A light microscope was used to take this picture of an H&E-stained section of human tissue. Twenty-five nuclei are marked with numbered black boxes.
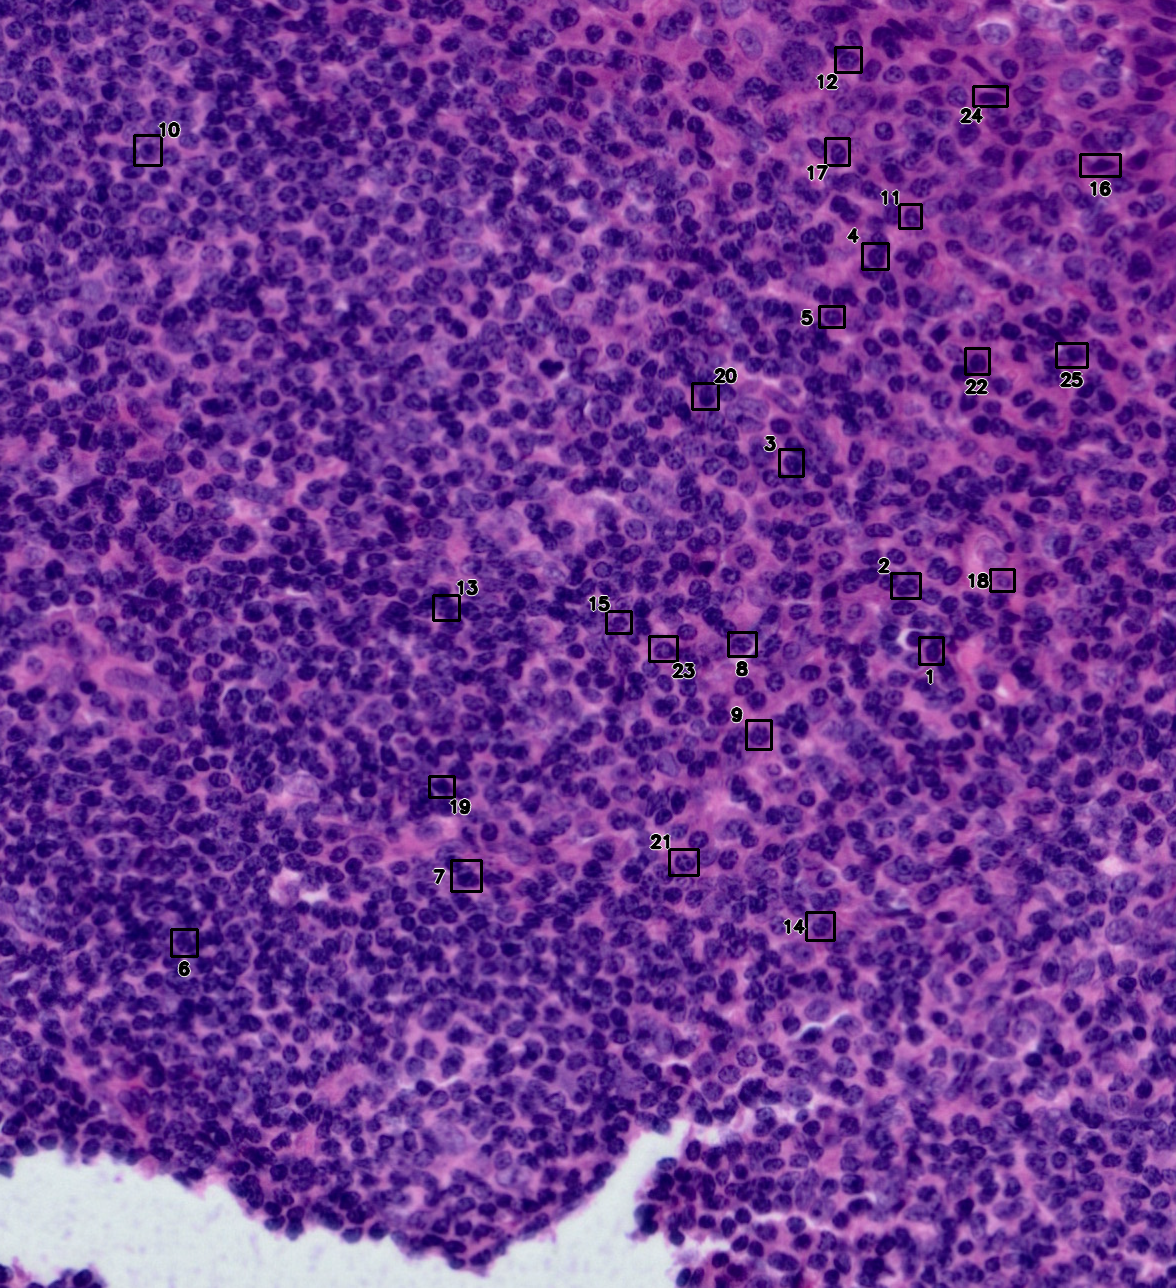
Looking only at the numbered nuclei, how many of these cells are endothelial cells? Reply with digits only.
1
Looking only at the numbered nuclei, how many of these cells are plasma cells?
13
